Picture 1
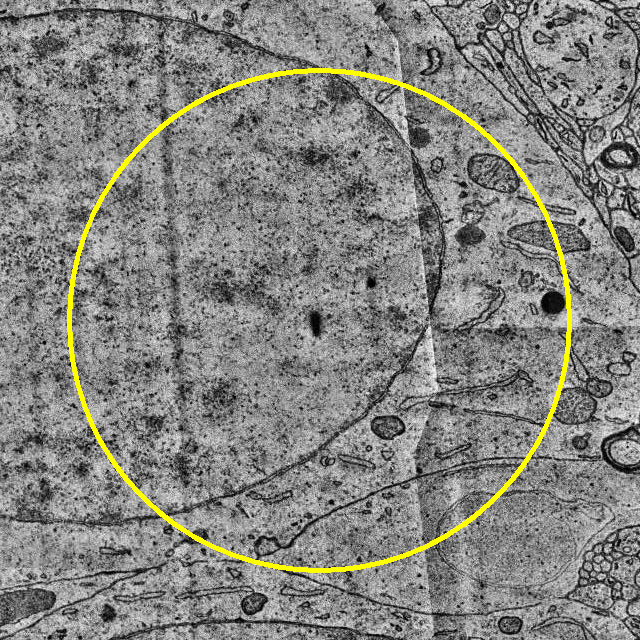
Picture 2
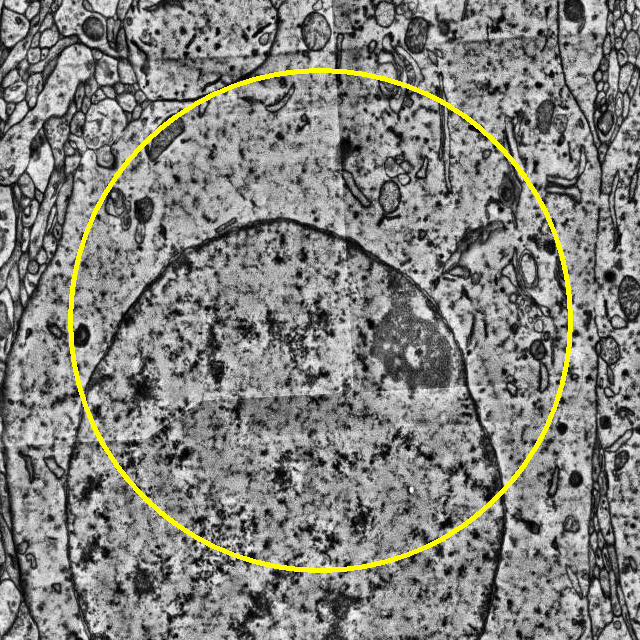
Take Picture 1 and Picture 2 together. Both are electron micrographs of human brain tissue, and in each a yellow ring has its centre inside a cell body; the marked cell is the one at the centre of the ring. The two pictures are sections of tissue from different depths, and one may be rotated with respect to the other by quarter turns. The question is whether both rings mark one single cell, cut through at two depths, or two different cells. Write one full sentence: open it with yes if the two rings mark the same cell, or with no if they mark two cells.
Yes, one cell appears twice, once in each ring.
